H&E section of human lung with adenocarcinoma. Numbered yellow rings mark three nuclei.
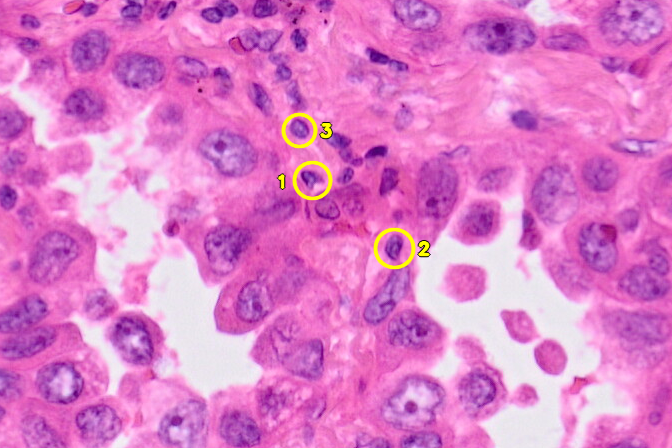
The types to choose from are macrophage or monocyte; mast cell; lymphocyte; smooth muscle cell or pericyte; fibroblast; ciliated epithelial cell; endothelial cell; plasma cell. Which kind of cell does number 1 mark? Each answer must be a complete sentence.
The nucleus with number 1 is that of a lymphocyte.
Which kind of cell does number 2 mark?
In this section, the cell tagged 2 is a lymphocyte.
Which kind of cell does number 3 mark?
The one labeled 3 is a mast cell, to put it simply.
